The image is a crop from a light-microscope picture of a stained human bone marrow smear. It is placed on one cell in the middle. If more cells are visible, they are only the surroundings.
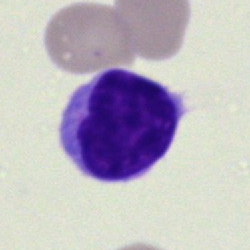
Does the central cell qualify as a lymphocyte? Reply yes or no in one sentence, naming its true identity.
Yes, the central element of the crop is a lymphocyte.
